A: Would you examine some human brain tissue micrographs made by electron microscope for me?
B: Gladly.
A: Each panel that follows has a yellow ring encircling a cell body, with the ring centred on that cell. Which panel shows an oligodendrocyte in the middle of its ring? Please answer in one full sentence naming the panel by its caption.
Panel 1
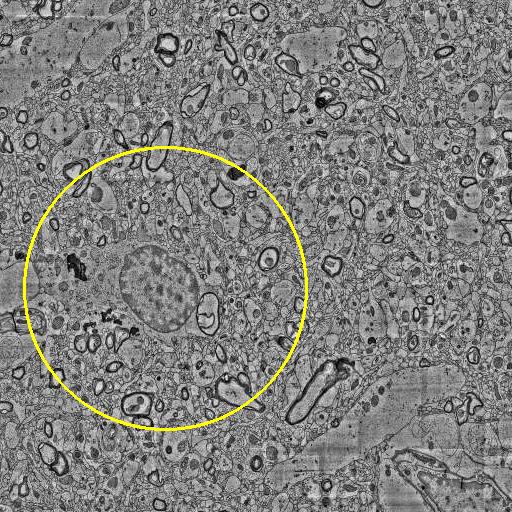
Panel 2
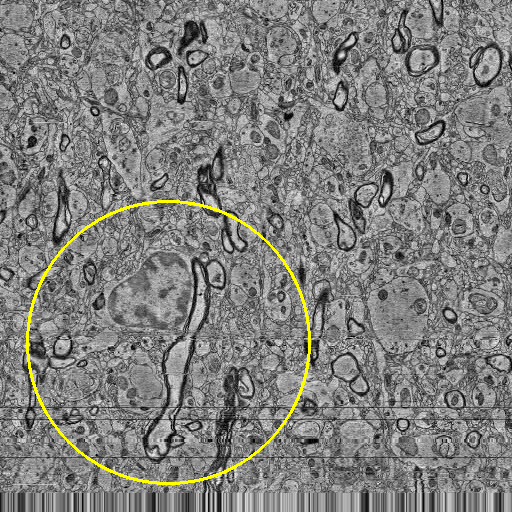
Panel 1 is where the ring sits centred on the requested cell.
